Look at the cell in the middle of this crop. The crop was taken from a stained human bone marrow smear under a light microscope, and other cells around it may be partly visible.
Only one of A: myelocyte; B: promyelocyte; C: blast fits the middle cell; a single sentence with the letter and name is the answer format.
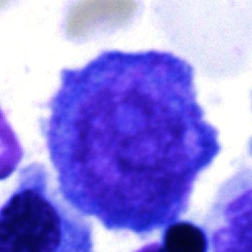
Option B correctly names the cell in the middle as a promyelocyte.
